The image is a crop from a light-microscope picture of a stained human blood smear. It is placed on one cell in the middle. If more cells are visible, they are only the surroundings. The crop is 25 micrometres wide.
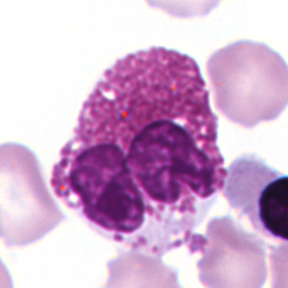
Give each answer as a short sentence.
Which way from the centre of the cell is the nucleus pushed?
The nucleus is pushed toward the bottom of the cell.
